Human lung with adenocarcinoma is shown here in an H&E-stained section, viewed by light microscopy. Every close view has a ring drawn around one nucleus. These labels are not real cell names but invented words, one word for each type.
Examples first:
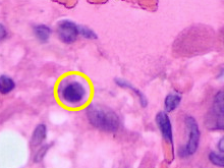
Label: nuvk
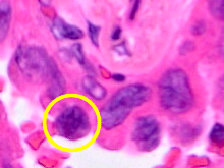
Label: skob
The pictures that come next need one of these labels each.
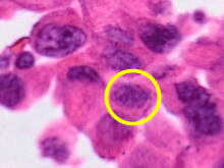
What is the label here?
skob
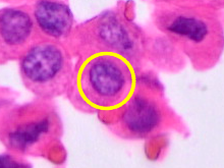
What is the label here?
skob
